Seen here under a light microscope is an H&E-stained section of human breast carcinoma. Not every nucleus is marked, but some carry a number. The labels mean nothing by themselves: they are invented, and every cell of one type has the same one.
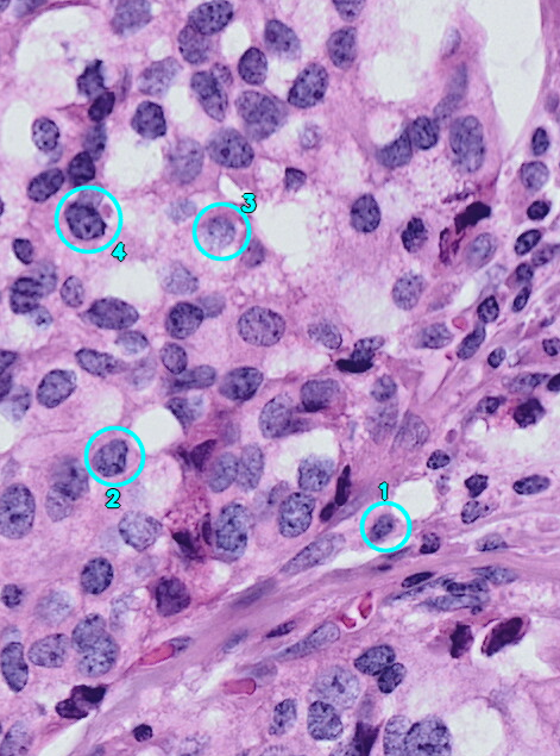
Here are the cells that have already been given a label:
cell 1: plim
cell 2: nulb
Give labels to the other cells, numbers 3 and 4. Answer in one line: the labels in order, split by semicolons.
nulb; nulb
